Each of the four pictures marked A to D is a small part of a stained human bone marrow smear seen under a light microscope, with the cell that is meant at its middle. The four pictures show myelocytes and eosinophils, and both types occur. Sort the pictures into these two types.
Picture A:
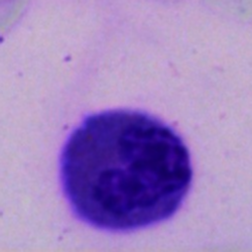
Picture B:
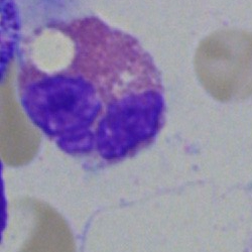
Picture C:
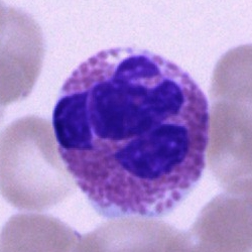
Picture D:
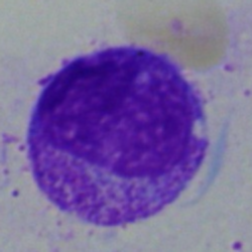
A: eosinophil
B: eosinophil
C: eosinophil
D: myelocyte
